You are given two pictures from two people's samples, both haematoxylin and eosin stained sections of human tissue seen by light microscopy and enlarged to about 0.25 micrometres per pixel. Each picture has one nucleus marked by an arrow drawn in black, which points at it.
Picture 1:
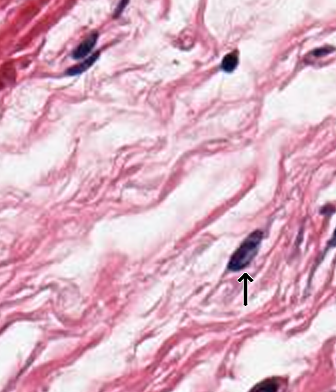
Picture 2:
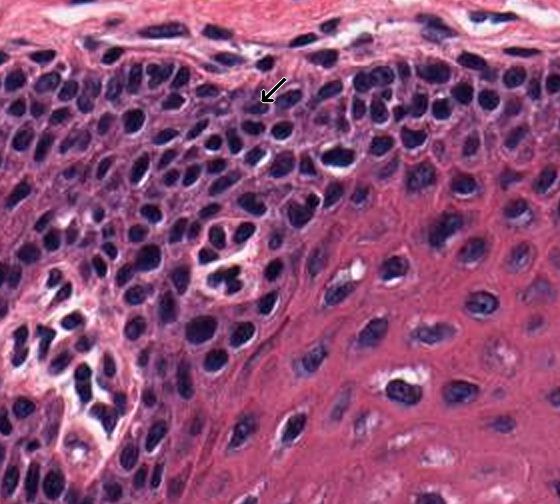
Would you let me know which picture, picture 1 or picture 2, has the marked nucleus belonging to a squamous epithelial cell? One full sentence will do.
The marked nucleus in picture 2 is identified as that of a squamous epithelial cell.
